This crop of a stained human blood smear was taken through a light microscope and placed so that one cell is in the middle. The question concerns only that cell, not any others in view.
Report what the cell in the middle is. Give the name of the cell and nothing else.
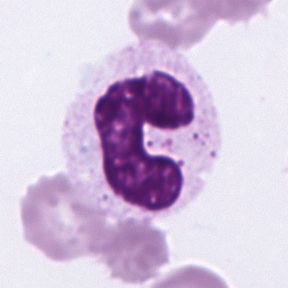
band neutrophil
